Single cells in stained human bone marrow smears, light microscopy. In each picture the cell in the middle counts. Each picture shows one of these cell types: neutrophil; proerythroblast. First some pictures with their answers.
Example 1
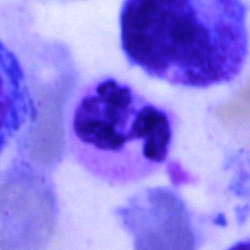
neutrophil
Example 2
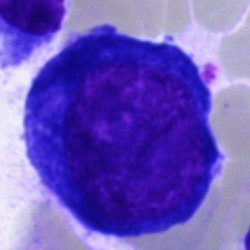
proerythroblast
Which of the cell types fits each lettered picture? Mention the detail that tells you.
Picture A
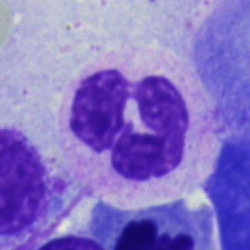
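neutrophil. The chromatin is dark purple and coarsely clumped.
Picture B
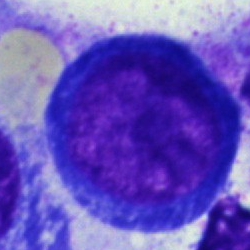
proerythroblast. The cytoplasm forms a narrow rim around the nucleus.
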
